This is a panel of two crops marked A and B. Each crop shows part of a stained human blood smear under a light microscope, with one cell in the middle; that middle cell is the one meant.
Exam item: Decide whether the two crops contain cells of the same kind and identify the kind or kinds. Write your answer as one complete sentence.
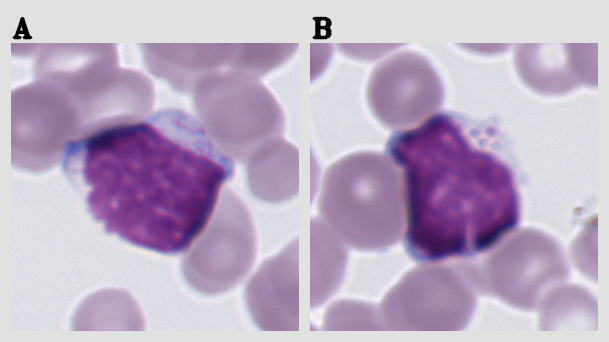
Yes, both crops show large granular lymphocytes, and that holds for each one.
